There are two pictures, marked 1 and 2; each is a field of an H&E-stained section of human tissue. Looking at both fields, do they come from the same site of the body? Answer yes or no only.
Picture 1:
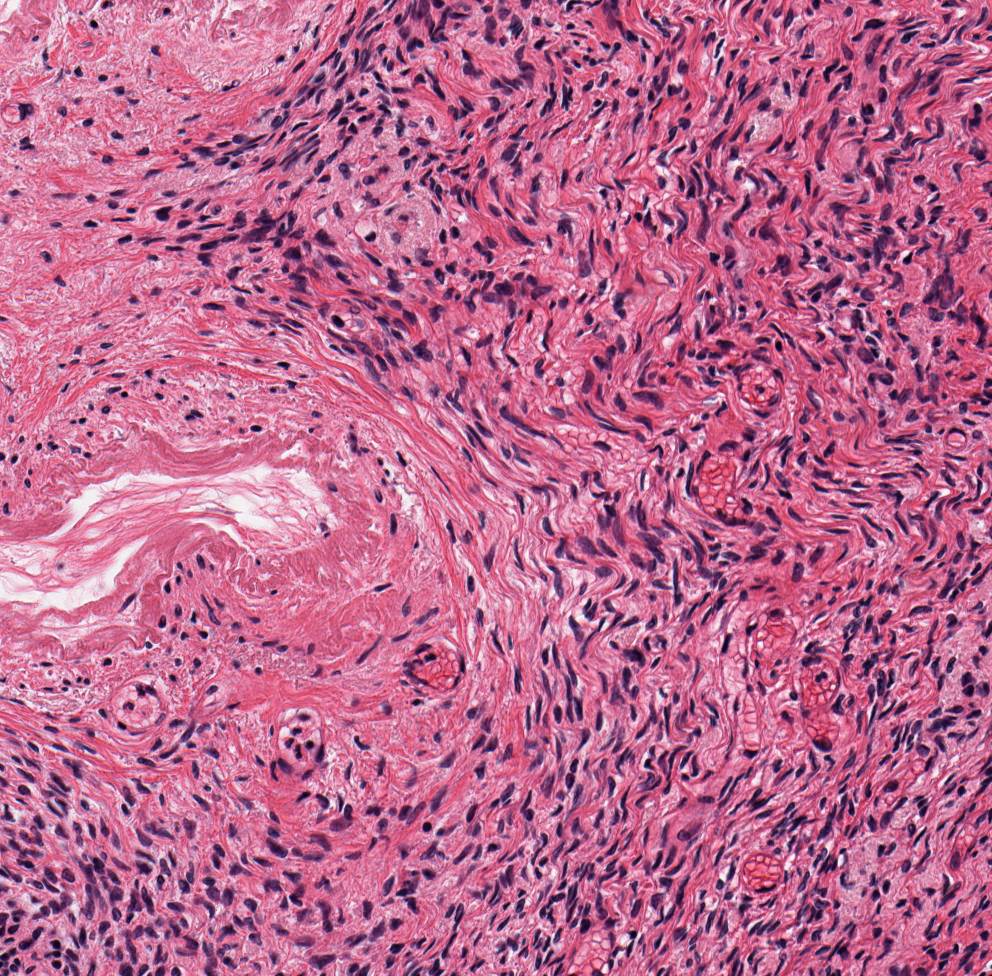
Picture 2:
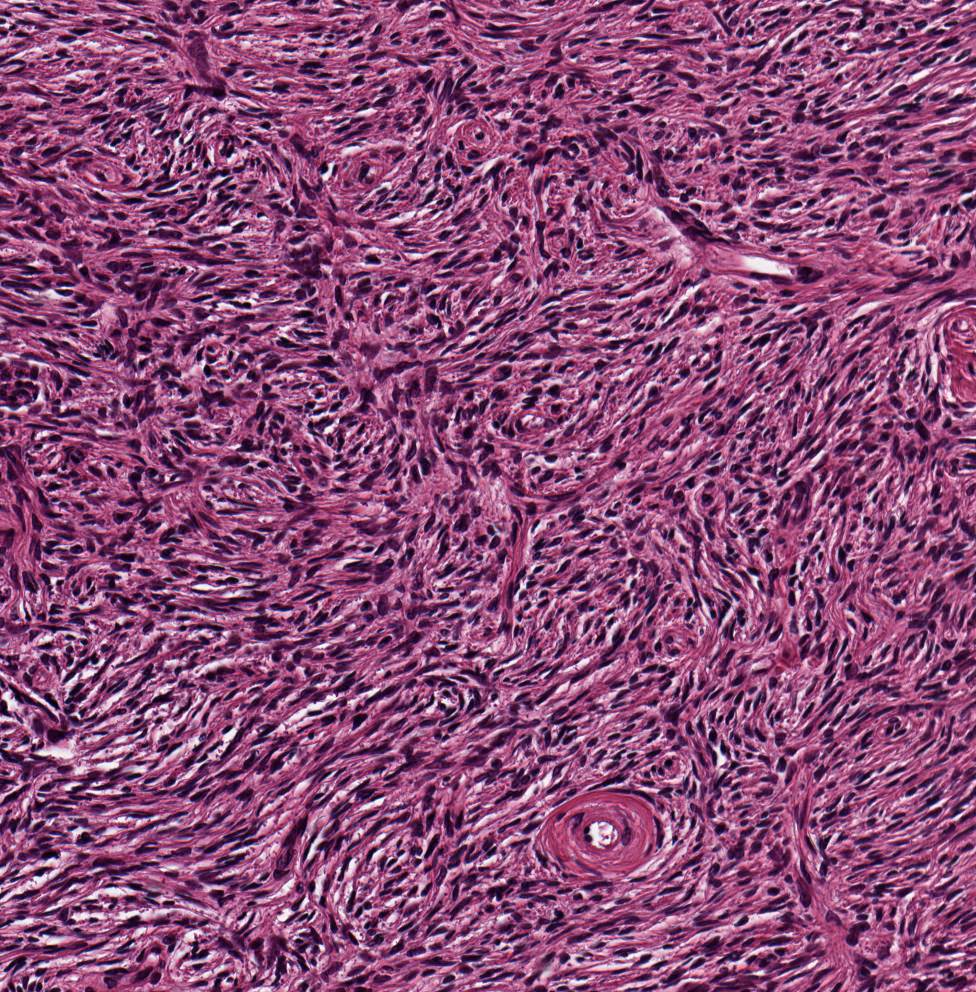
yes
